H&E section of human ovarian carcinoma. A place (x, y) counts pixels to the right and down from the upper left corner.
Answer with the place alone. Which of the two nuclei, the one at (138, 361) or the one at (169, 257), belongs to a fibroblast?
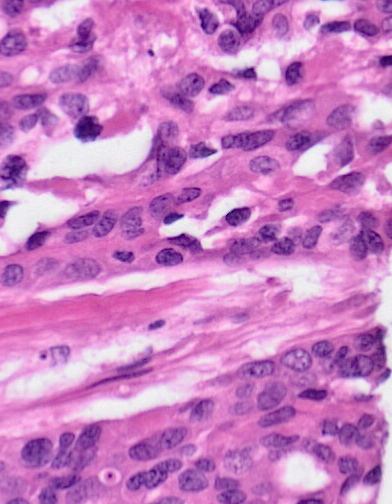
(138, 361)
